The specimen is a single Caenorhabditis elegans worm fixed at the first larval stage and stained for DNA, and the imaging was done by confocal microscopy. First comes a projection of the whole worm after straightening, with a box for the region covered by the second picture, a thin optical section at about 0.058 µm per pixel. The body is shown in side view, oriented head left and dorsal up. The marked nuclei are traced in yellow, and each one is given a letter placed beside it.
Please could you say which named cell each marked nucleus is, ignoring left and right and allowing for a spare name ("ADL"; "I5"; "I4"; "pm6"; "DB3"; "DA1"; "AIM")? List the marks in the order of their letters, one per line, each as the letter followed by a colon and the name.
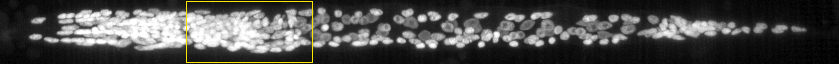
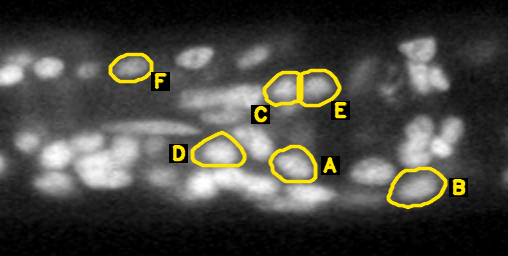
A: I5
B: DA1
C: I4
D: AIM
E: pm6
F: ADL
